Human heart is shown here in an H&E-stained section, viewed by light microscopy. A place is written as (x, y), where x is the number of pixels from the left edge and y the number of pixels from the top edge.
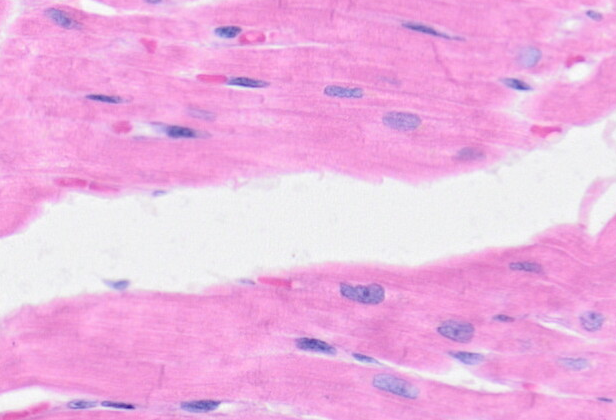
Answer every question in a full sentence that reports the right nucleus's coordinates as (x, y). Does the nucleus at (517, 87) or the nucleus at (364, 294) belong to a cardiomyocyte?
The nucleus of a cardiomyocyte lies at (364, 294), not at the other position.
